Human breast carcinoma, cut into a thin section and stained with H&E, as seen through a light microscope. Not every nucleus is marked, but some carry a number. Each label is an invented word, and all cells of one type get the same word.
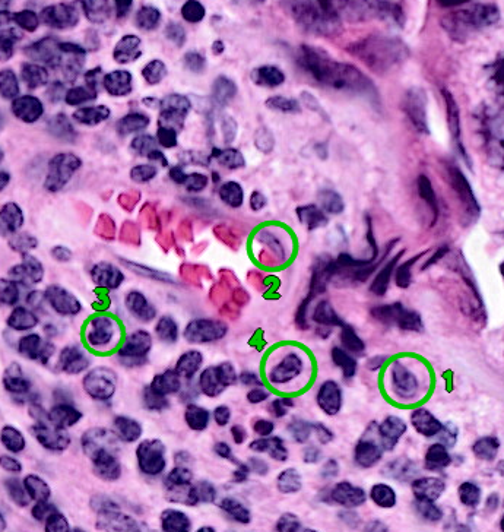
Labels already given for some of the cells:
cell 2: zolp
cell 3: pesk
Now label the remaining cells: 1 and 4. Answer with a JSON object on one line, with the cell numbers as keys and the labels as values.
{"1": "pesk", "4": "pesk"}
